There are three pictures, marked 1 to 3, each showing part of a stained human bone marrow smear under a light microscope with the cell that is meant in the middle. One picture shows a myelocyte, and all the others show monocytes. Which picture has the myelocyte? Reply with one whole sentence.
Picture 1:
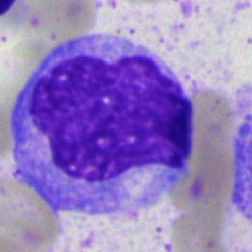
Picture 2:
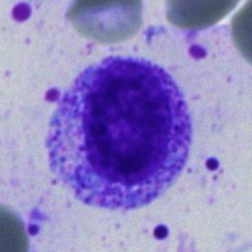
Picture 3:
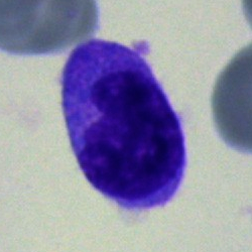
The myelocyte is the one in picture 2.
